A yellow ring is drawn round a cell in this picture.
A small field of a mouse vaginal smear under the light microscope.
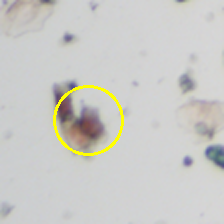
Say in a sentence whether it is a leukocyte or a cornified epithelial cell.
The cell in the ring is a cornified epithelial cell.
